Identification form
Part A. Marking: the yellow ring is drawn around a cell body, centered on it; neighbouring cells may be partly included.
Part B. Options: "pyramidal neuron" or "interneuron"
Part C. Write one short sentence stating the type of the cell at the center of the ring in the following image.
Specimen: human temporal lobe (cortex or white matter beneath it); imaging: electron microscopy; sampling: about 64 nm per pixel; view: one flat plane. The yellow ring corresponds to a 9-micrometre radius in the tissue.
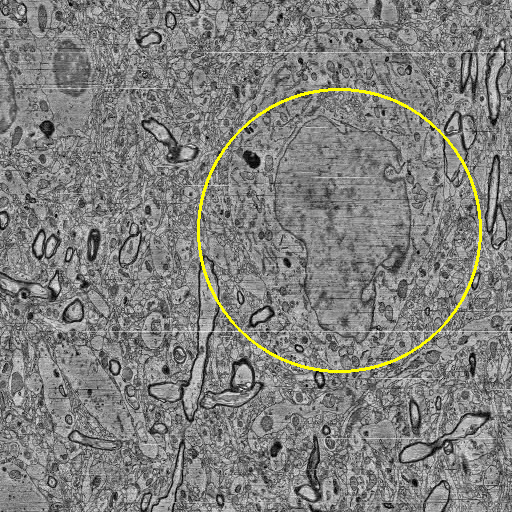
The center of the ring holds an interneuron.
